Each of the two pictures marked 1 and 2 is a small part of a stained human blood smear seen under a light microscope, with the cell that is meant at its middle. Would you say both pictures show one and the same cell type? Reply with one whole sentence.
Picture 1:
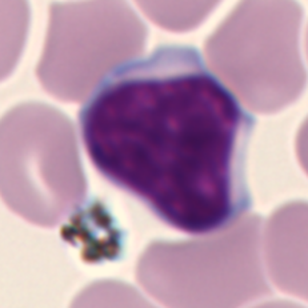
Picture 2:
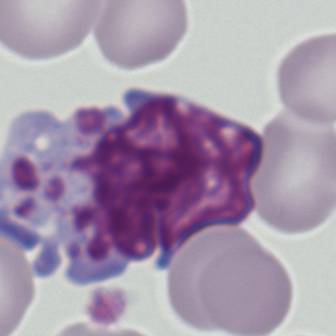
Yes, they are the same type: both are typical lymphocytes.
